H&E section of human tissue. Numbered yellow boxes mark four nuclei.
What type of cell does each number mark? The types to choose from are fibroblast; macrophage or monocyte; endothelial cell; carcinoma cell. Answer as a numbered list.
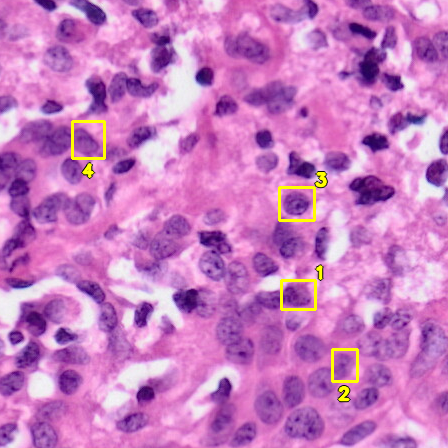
1. carcinoma cell
2. carcinoma cell
3. macrophage or monocyte
4. carcinoma cell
